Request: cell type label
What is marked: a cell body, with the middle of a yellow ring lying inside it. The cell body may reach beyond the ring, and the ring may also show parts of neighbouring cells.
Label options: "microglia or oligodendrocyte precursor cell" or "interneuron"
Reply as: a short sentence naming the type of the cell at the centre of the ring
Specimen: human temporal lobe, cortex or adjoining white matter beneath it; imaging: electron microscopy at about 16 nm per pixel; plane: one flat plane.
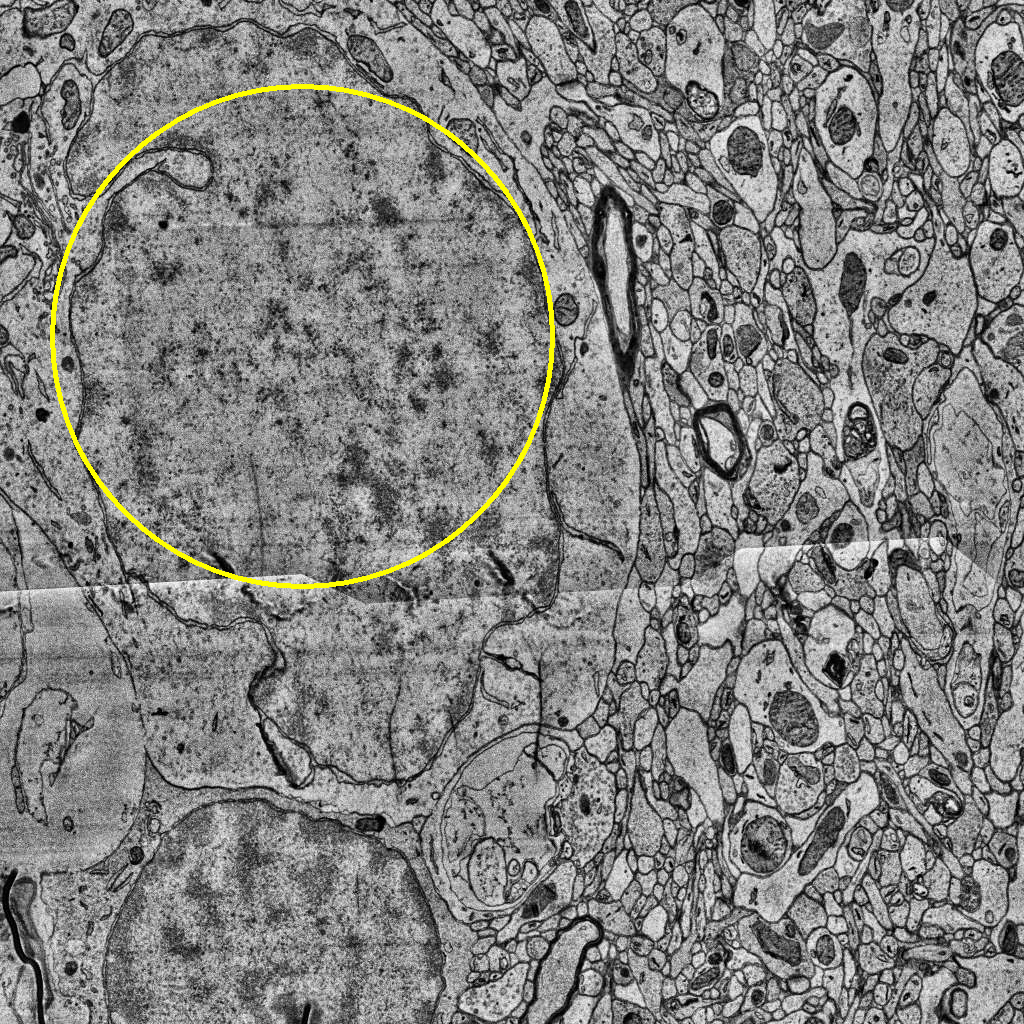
The marked cell body is that of an interneuron.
